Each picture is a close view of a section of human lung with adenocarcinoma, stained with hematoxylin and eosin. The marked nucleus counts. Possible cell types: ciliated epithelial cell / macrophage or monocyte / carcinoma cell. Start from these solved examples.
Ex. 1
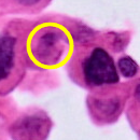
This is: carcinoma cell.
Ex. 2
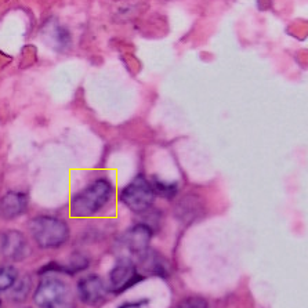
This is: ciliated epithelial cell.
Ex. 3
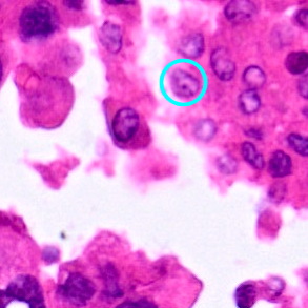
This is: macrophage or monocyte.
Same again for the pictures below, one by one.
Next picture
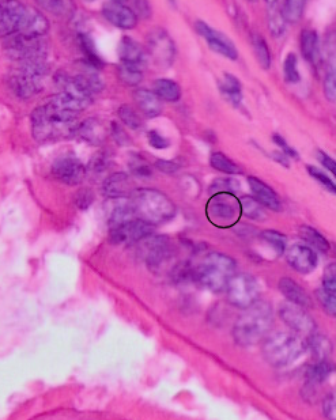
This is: ciliated epithelial cell.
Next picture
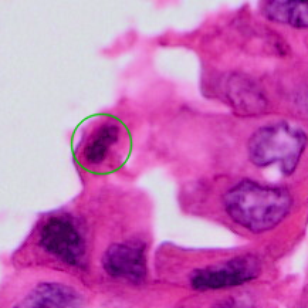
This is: macrophage or monocyte.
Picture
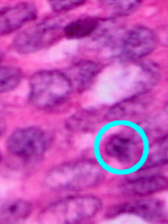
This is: ciliated epithelial cell.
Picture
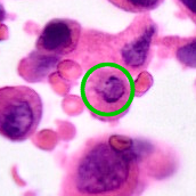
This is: macrophage or monocyte.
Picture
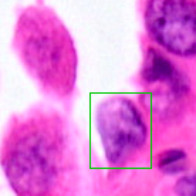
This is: carcinoma cell.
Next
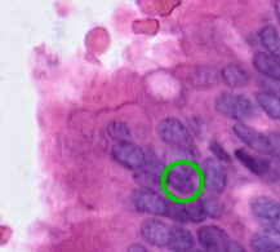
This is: ciliated epithelial cell.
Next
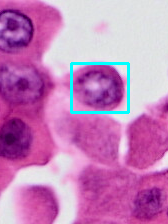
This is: carcinoma cell.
